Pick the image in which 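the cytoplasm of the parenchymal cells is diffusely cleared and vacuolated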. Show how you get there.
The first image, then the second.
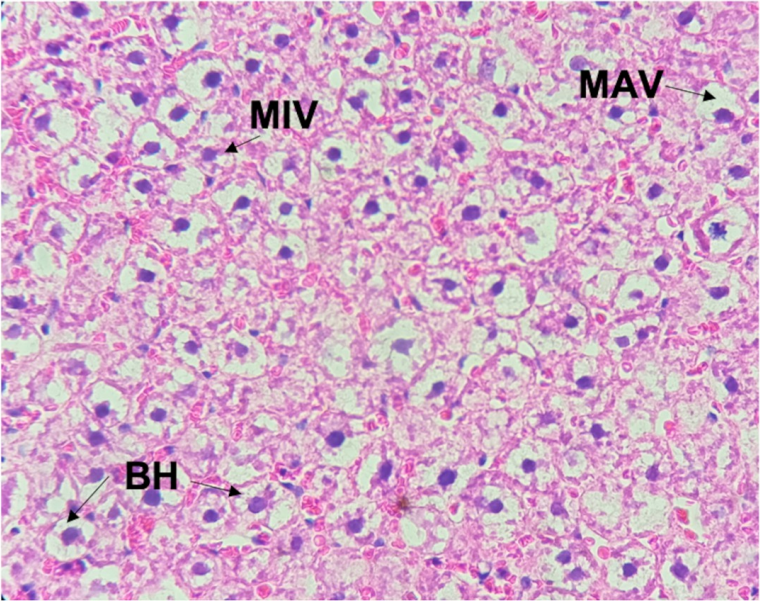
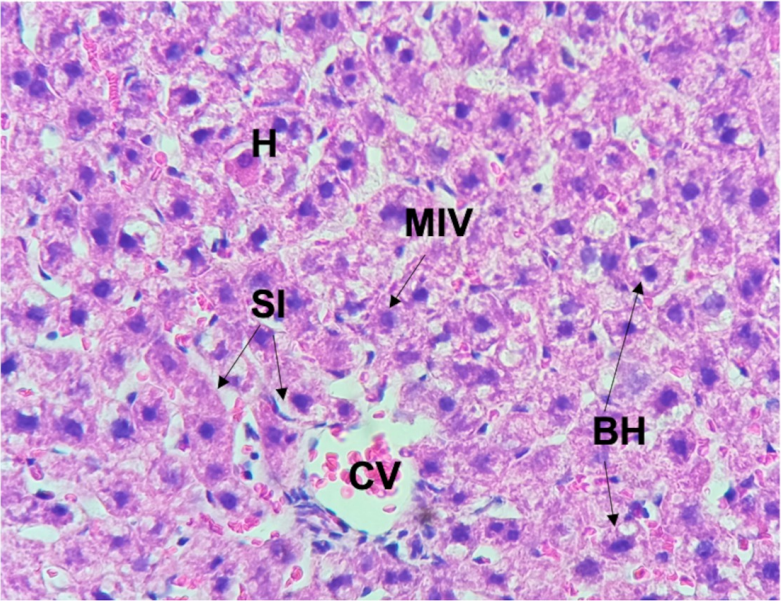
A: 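First image: nearly every cell has pale, clear, foamy cytoplasm with thin pink strands and a central nucleus. Second image: most cells keep a granular pink-purple cytoplasm, with only scattered clear spaces. On this evidence: the first image.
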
